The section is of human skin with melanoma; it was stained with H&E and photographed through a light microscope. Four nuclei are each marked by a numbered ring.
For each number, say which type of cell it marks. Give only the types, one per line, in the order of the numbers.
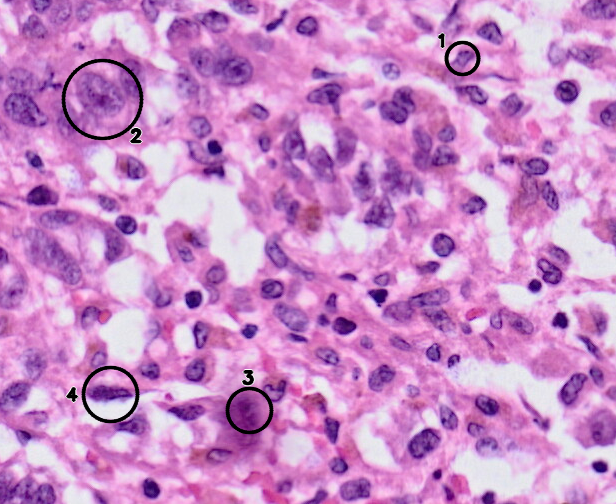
macrophage or monocyte
melanoma cell
melanoma cell
melanoma cell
